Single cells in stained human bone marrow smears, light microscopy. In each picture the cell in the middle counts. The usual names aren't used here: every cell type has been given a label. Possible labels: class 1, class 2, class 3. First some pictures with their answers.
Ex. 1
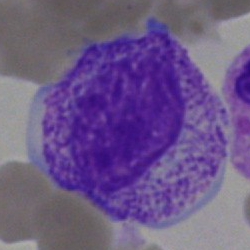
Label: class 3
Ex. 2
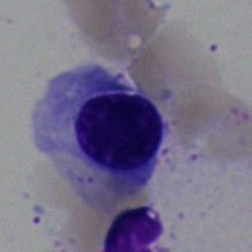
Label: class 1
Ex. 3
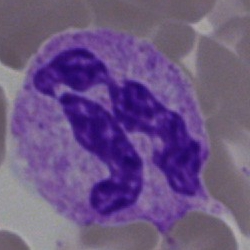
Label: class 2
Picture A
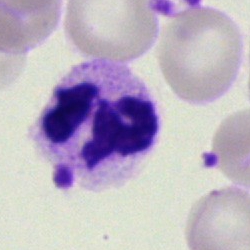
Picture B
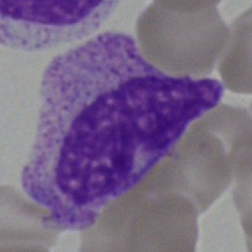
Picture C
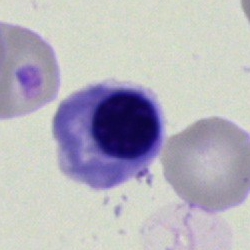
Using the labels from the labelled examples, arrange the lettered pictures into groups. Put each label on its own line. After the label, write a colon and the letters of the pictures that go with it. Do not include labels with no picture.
class 1: C
class 2: A
class 3: B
